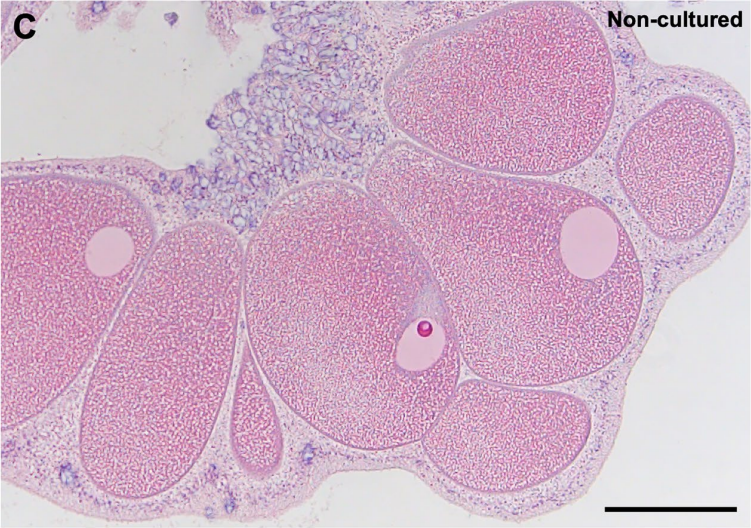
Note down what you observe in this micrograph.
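This section of ovary is filled with large oocytes packed closely together. The oocytes are oval or rounded, some drop- or pear-shaped, and their cytoplasm stains pink with a fine, reticulated granular texture. Several oocytes show a large round pale nucleus, and in one a small dark pink nucleolus lies within it. Thin bands of lightly stained tissue with scattered purple nuclei separate the oocytes and line the outer edge of the section. At the upper edge a looser, purple-tinged tissue is attached.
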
